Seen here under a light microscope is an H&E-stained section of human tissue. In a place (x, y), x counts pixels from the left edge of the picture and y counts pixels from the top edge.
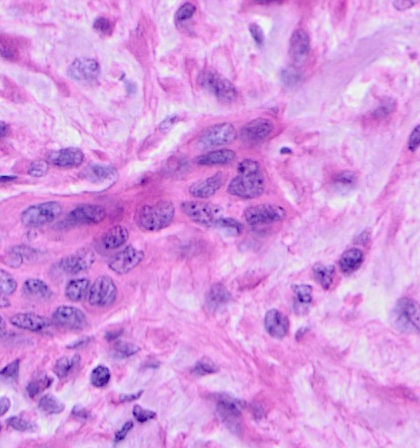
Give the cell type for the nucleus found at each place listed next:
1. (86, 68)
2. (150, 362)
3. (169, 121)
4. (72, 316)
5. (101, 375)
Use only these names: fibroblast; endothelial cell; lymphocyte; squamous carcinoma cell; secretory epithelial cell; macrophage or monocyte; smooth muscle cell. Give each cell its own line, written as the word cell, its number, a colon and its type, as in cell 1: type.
cell 1: fibroblast
cell 2: fibroblast
cell 3: fibroblast
cell 4: squamous carcinoma cell
cell 5: lymphocyte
